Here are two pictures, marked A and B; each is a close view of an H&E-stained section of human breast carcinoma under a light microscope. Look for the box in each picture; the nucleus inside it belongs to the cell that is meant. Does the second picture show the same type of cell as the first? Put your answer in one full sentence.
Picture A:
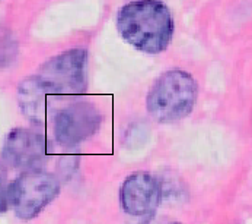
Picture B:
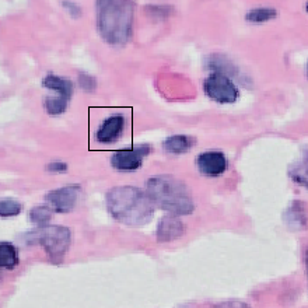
No, the types are not the same, since picture A shows a carcinoma cell and picture B a lymphocyte.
